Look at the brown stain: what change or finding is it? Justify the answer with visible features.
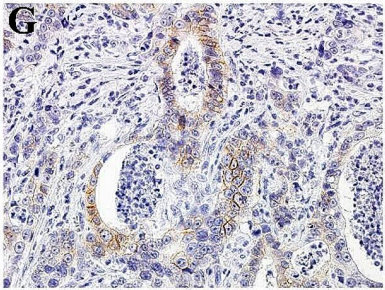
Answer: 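Thin brown lines outline the borders of tumour cells in some glands. The brown is paler than a strong, thick membrane stain.
Answer: weak to moderate complete or basolateral membrane staining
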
